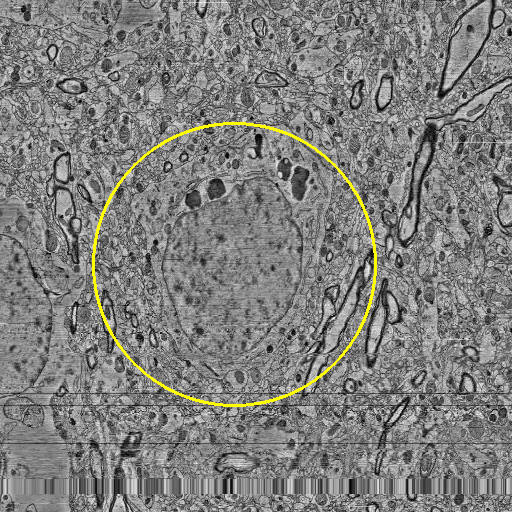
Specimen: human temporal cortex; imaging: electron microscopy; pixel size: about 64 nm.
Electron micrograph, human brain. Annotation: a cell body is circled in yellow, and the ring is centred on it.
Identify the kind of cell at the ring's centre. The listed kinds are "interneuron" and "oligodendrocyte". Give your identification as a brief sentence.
The circled cell body is that of an interneuron.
